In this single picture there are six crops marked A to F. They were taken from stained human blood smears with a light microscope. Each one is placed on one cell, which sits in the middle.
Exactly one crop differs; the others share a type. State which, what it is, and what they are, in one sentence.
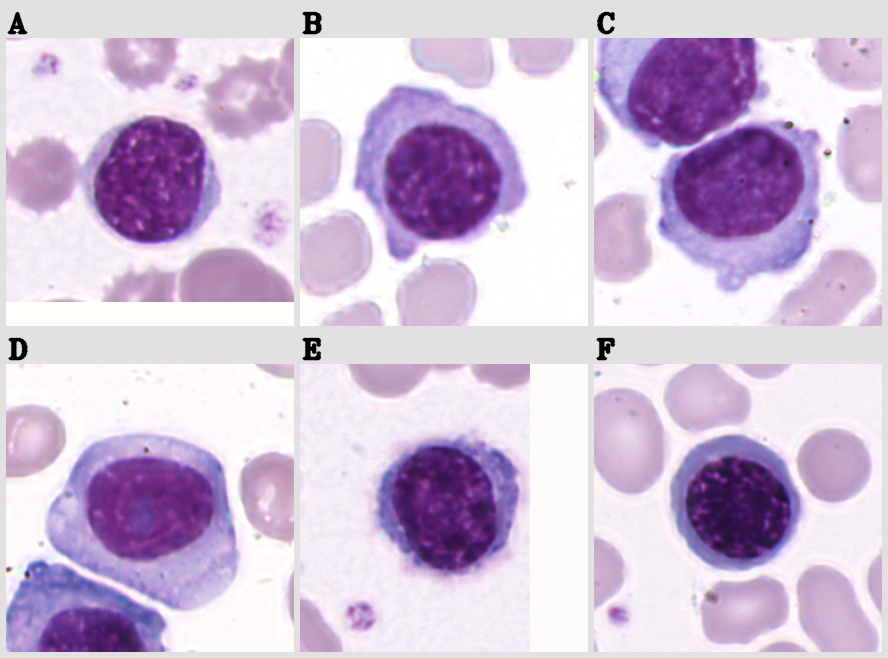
Crop F stands apart from the rest as a normoblast, the others all being plasma cells.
